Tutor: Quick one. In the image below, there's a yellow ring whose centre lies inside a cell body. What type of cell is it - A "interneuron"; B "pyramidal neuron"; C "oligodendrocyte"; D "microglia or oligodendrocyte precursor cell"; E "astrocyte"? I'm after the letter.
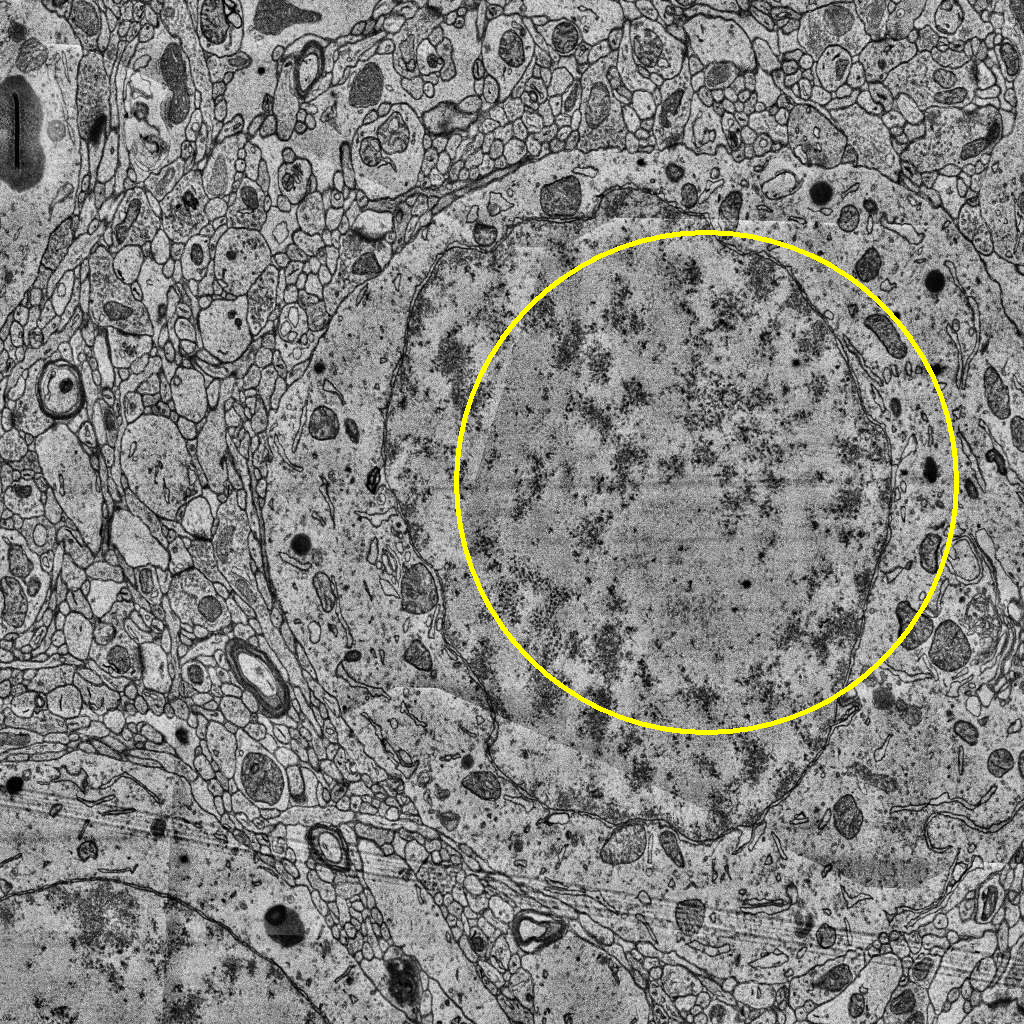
A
